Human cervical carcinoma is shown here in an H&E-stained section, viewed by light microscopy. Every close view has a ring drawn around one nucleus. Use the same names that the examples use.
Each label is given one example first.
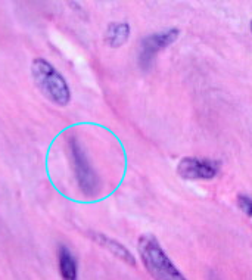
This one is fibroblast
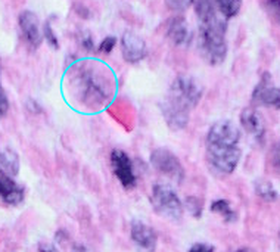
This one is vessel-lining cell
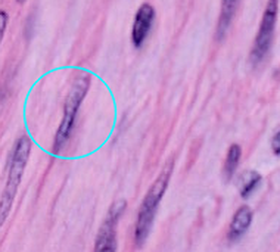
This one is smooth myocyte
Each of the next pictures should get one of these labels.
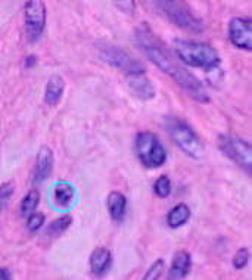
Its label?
smooth myocyte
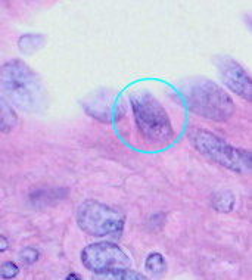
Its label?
vessel-lining cell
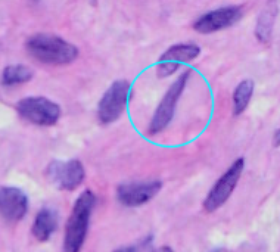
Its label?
fibroblast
